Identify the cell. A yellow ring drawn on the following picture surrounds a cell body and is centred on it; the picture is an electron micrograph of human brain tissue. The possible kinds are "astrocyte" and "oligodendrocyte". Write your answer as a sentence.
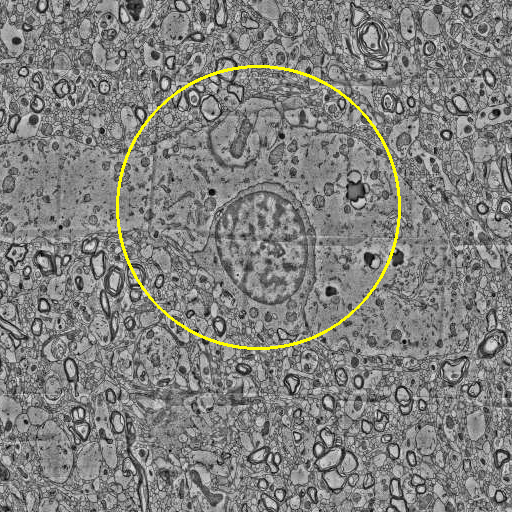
The cell identified by the ring is an oligodendrocyte.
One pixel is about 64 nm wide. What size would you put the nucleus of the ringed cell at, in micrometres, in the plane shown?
The nucleus measures about 7 by 6 micrometres in this plane.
